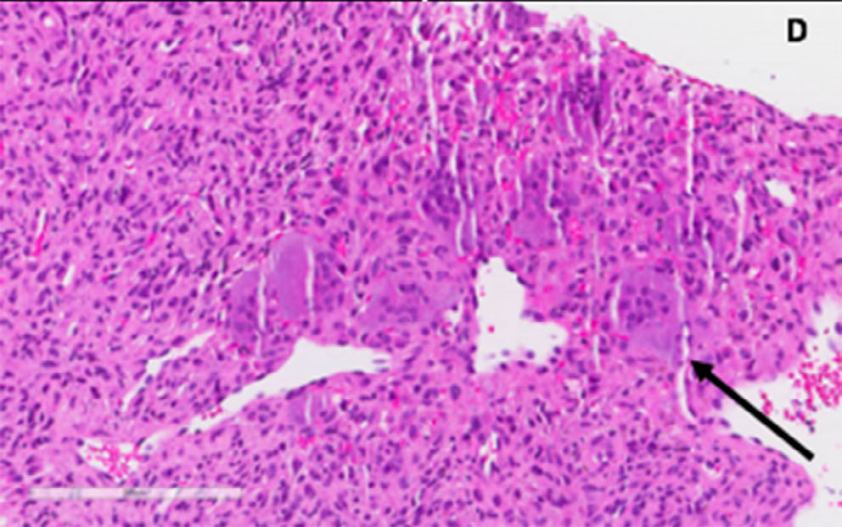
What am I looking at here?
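This section of a mesenchymal tumor shows a dense population of spindle to oval cells, with multinucleated giant cells scattered among them. The spindle cells have elongated to oval, dark purple nuclei and a small amount of pink cytoplasm. They are packed closely into sheets and short bundles. Thin-walled, slit-like and branching vessel spaces containing red blood cells run through the tissue.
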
